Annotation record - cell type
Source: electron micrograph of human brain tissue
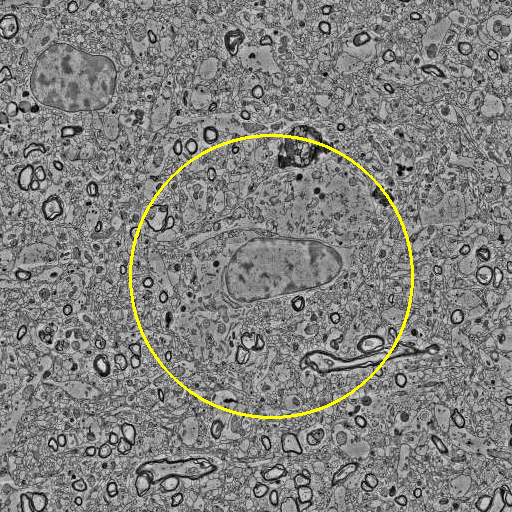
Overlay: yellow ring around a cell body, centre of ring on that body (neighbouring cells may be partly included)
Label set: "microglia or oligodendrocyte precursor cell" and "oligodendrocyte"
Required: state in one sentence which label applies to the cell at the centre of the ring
This cell should be labelled as a microglial cell or oligodendrocyte precursor cell.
